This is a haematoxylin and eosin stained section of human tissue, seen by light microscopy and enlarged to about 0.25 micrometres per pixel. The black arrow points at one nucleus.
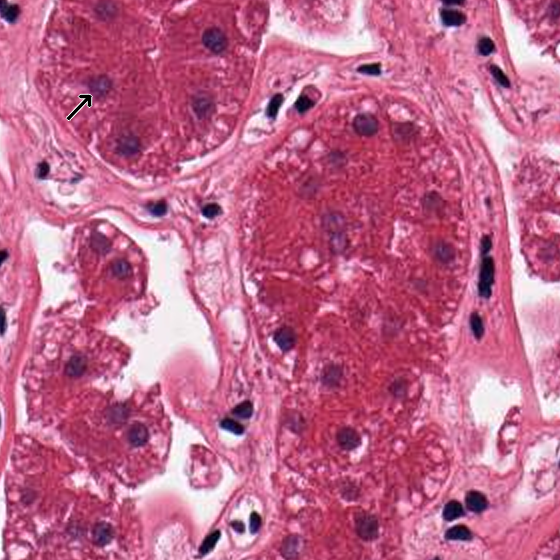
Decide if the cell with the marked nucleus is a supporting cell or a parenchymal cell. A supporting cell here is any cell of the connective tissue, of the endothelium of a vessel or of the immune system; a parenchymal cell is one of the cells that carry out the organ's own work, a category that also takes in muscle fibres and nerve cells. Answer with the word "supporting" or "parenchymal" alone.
parenchymal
